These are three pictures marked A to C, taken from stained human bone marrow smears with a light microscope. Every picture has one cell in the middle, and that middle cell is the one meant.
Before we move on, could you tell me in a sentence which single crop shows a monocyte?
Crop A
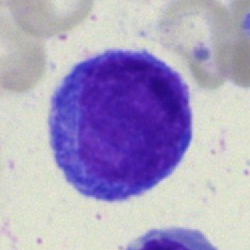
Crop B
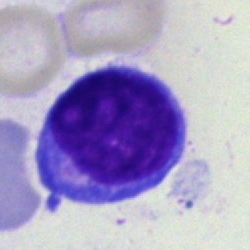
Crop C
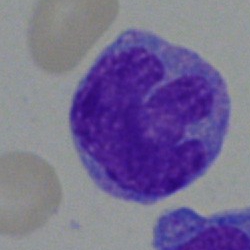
Crop C is where a monocyte is shown.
